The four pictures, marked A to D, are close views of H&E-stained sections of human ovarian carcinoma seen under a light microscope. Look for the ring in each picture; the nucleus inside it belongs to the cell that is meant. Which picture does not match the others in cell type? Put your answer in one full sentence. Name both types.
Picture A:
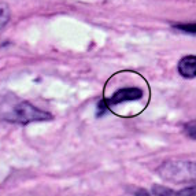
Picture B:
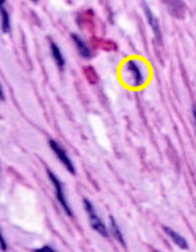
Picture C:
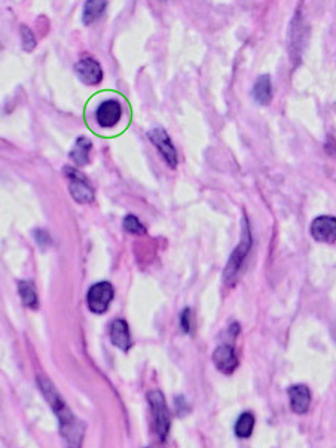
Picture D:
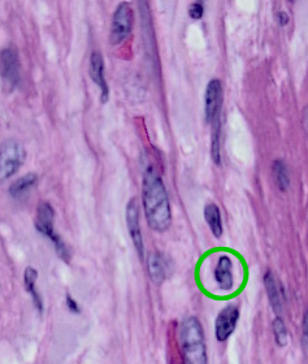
Picture B is the odd one out: it shows a fibroblast, while the others show lymphocytes.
